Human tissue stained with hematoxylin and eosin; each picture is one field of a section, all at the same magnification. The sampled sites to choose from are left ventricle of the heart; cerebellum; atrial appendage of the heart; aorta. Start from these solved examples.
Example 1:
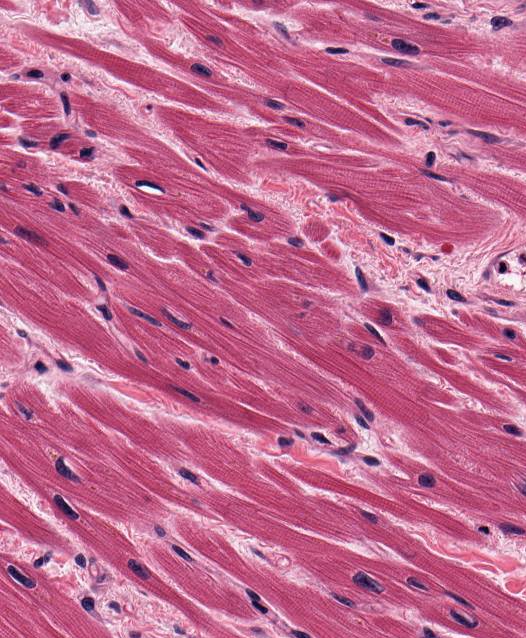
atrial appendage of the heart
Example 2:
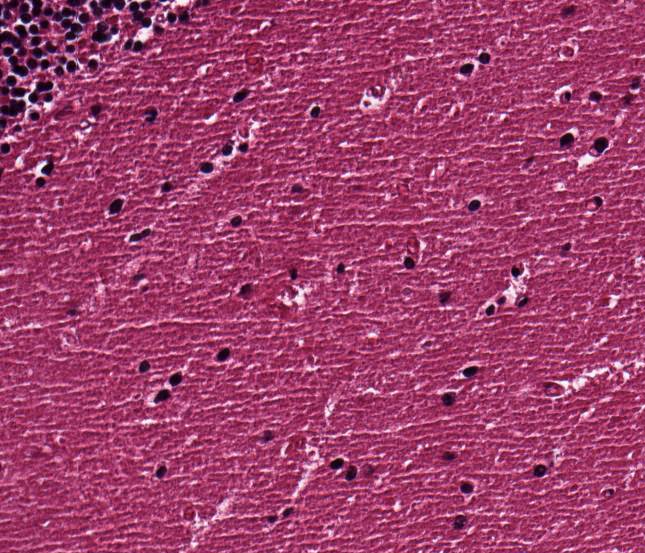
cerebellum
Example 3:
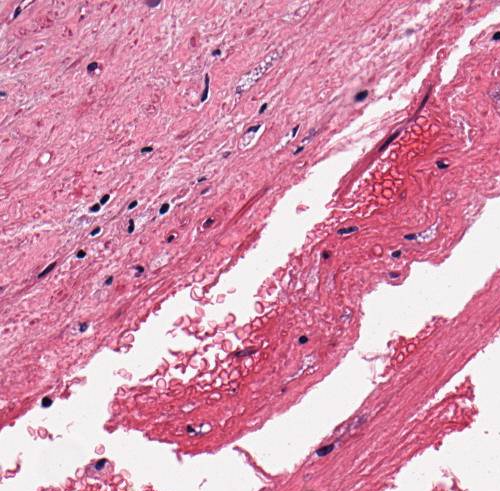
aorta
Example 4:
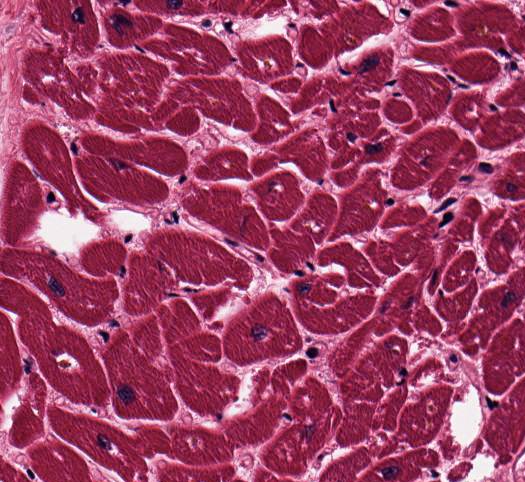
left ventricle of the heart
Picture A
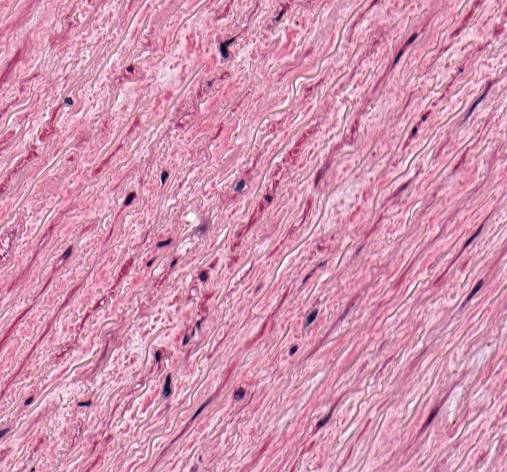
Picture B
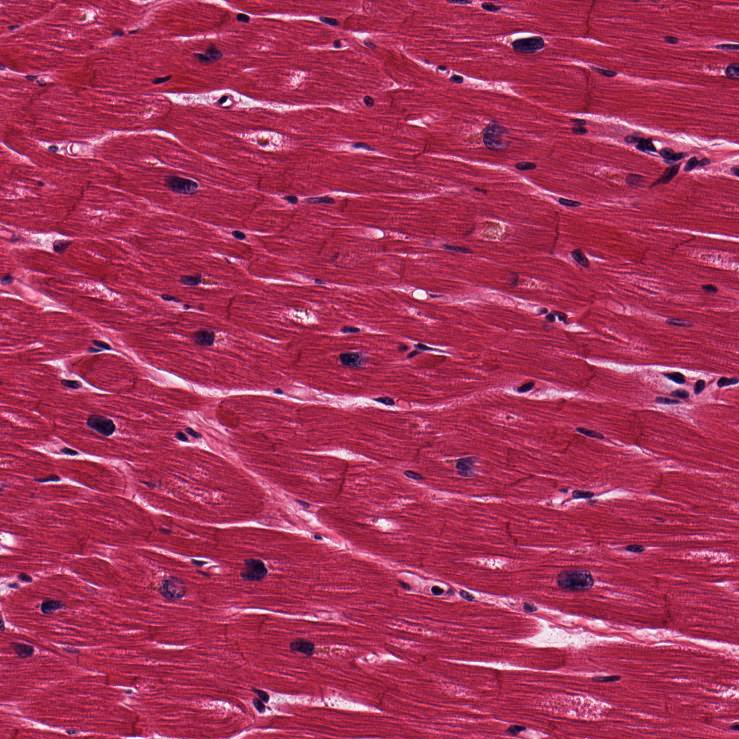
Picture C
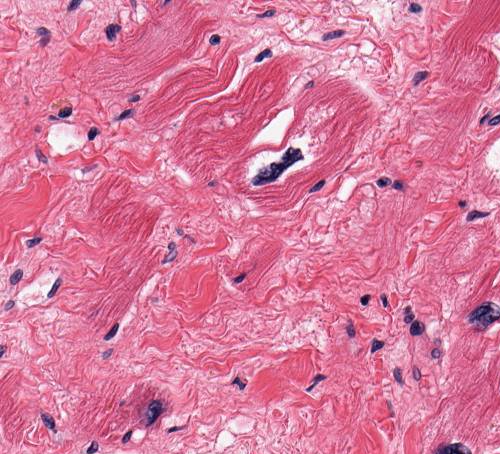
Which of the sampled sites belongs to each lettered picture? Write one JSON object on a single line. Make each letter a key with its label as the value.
{"A": "aorta", "B": "left ventricle of the heart", "C": "atrial appendage of the heart"}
